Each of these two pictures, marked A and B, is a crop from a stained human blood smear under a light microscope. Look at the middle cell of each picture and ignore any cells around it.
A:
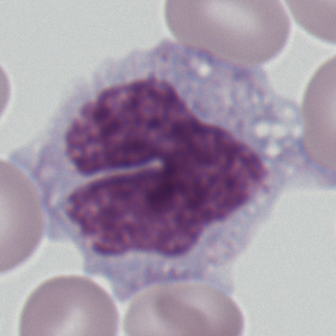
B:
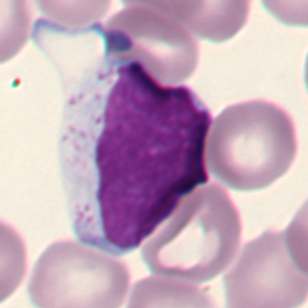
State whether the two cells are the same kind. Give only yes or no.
no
